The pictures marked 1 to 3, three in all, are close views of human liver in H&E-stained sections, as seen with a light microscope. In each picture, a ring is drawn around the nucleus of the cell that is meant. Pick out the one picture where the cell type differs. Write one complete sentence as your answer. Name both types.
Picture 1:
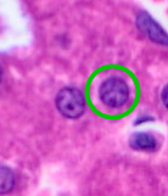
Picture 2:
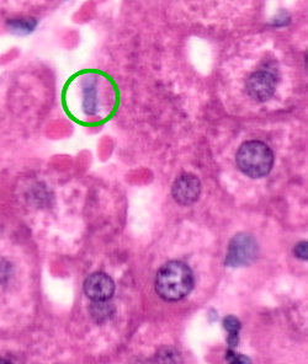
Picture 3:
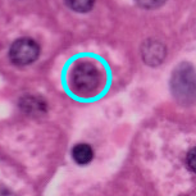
The others show hepatocytes, but picture 2 shows a Kupffer cell.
